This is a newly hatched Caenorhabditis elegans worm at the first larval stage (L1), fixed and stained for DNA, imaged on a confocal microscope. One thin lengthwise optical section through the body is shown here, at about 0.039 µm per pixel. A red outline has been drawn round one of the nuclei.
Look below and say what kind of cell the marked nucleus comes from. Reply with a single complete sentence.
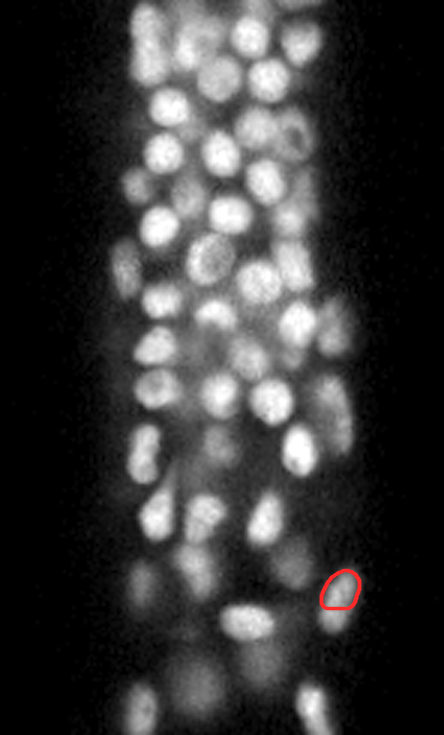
It is the nucleus of a body wall muscle cell.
